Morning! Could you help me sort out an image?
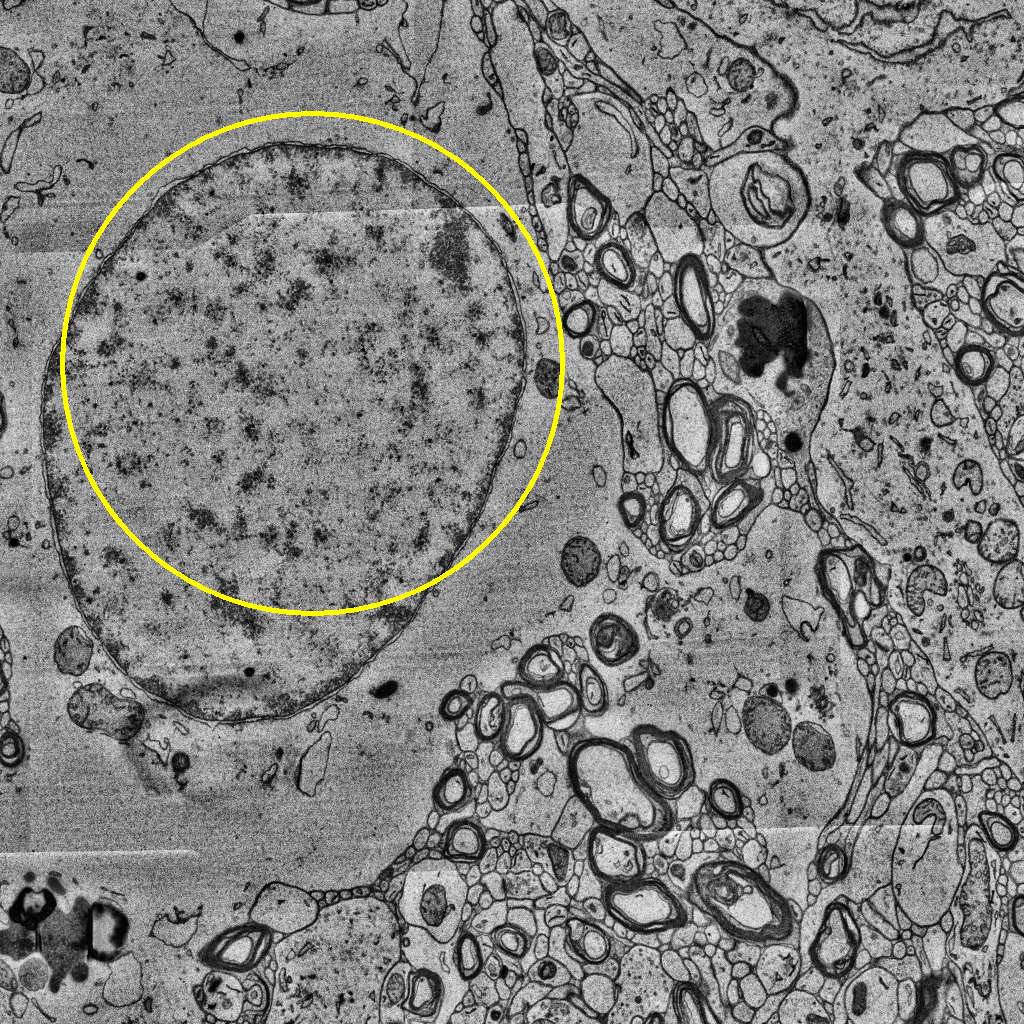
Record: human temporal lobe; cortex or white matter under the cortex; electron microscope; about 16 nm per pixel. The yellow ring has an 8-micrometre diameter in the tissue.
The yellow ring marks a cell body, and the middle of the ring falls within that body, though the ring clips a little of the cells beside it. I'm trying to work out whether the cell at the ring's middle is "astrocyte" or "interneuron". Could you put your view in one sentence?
The cell body at the ring's middle is that of an astrocyte.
